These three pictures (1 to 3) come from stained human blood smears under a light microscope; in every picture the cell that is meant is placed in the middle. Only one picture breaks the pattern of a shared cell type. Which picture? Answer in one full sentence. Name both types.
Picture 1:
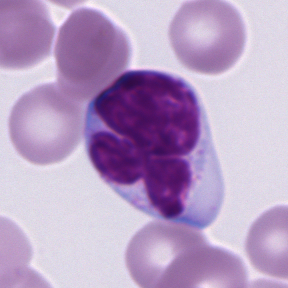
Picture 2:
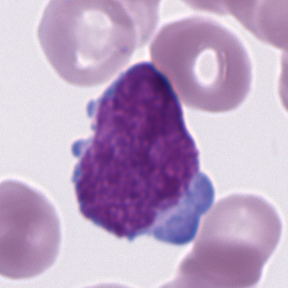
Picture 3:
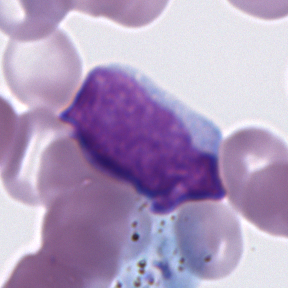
All pictures except 1 show myeloblasts; picture 1 shows a large granular lymphocyte.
